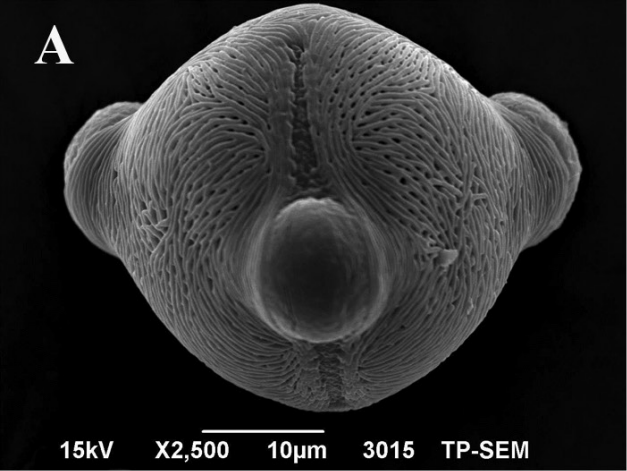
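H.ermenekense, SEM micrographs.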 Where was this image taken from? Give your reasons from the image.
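A furrow runs from top pole to bottom pole across the facing side. A rounded pore sits at the middle of the furrow. Pores bulge at the left and right margins.
Hence: equatorial view.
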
